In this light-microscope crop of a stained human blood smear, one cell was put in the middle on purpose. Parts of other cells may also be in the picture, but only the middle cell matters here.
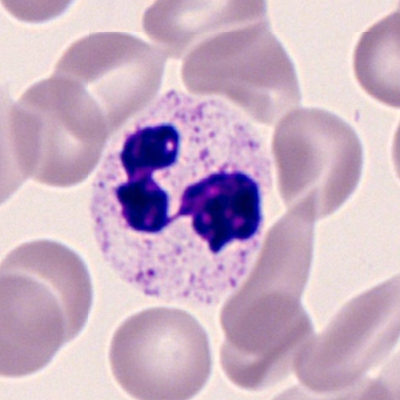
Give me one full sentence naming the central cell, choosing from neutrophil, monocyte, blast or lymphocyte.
Positioned in the middle of the crop is a neutrophil.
